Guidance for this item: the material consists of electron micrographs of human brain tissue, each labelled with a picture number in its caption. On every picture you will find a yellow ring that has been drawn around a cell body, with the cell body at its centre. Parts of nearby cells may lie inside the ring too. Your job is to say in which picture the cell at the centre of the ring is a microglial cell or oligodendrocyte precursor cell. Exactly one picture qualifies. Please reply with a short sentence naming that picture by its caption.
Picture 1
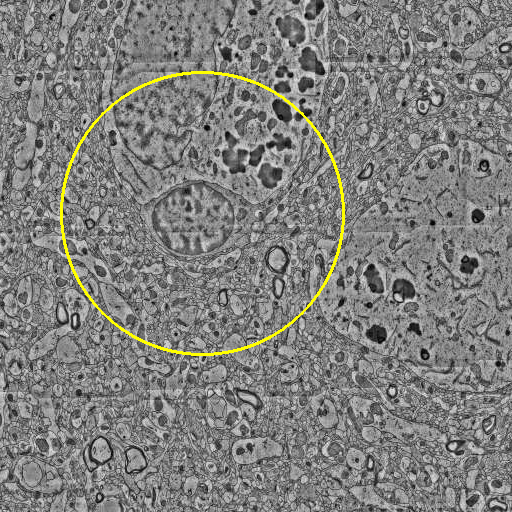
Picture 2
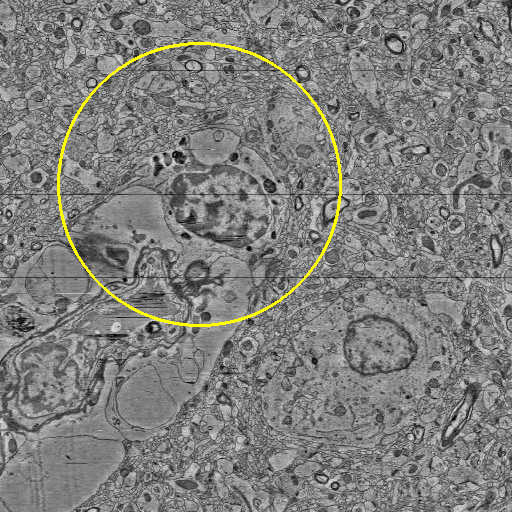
Picture 2 shows it at the centre of the ring.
